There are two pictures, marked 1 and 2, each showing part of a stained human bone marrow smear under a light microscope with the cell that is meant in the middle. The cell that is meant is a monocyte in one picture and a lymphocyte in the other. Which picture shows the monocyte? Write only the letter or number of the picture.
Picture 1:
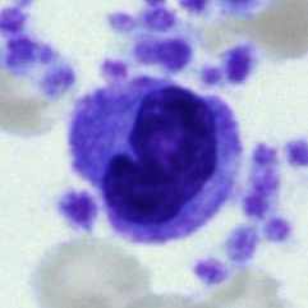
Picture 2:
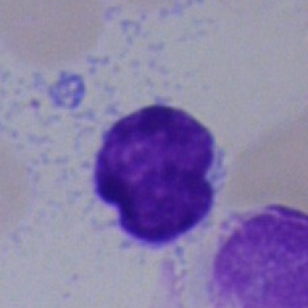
1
